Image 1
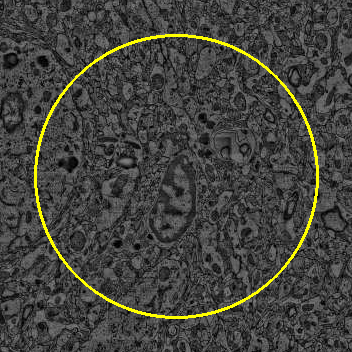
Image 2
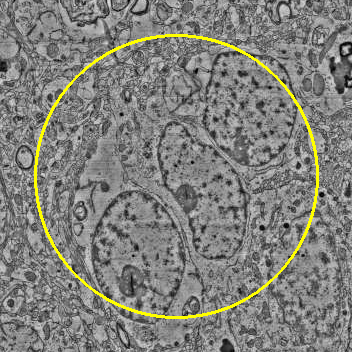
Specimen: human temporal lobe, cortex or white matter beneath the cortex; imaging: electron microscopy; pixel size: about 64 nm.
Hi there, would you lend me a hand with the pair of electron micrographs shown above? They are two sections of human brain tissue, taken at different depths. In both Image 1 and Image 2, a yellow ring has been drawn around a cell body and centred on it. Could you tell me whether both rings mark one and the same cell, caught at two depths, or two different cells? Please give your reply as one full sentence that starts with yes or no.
No, a different cell sits inside each of the two rings.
